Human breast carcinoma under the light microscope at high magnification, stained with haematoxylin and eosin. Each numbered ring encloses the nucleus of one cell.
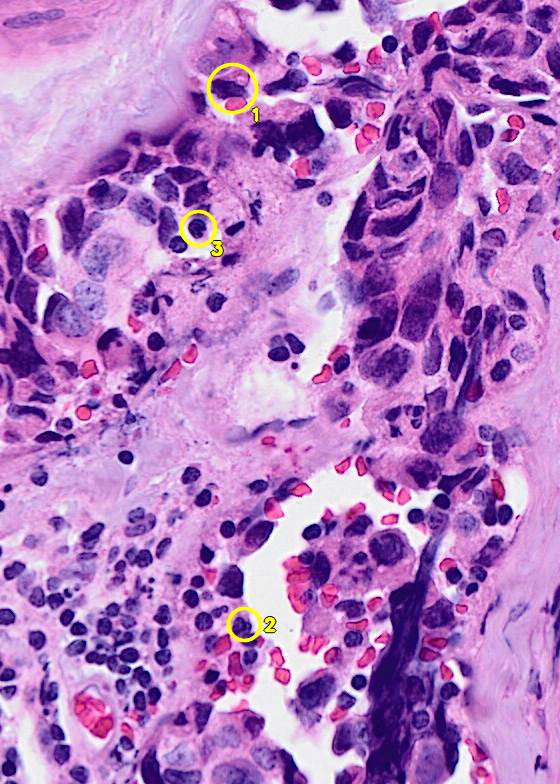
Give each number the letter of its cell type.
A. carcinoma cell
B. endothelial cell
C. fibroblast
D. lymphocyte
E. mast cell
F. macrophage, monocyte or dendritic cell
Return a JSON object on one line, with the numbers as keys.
{"1": "A", "2": "D", "3": "D"}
